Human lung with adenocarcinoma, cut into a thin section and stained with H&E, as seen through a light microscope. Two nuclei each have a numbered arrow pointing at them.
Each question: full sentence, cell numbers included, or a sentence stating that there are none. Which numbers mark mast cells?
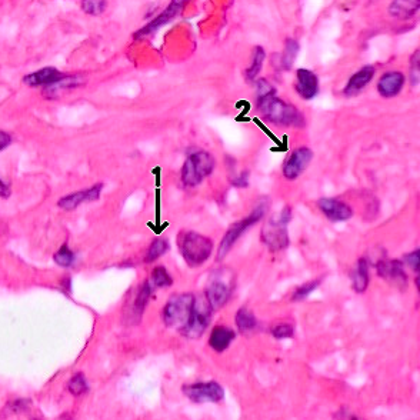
Only the cell marked 2 is a mast cell.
